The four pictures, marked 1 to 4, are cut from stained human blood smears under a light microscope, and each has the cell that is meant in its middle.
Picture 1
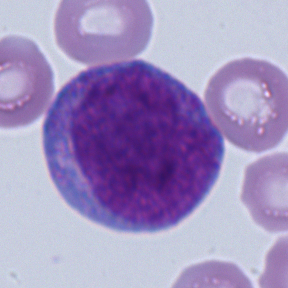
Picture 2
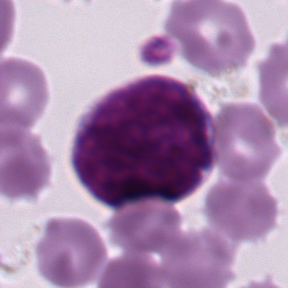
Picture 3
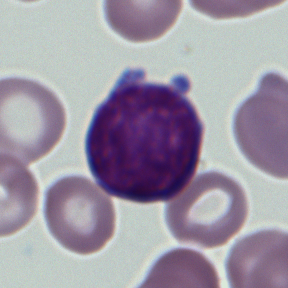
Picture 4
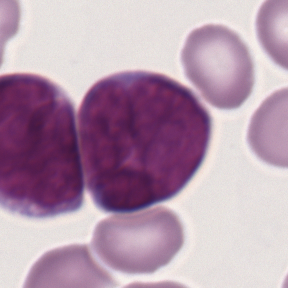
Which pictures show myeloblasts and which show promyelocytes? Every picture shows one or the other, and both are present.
1: promyelocyte
2: myeloblast
3: myeloblast
4: myeloblast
